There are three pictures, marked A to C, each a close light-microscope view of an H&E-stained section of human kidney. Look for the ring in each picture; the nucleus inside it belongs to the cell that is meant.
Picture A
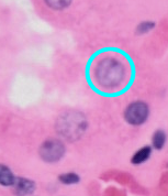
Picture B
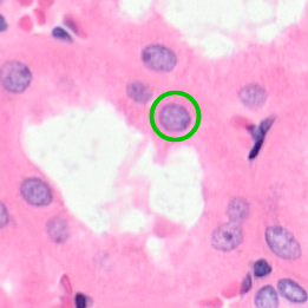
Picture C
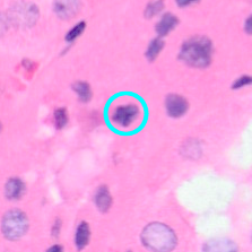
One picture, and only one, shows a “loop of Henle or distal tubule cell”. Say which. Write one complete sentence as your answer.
The cell in picture C is the “loop of Henle or distal tubule cell”.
